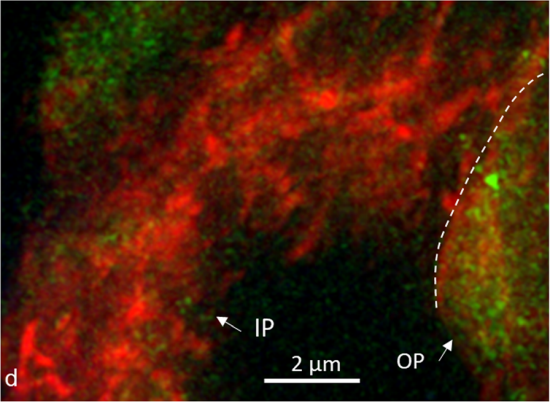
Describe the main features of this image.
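Red fibrous strands run in various, irregular directions through a broad cell head at the left, with fine green dots scattered among them; at the right a curved dashed line separates it from a narrower head where green dots are denser. This is the head of the inner pillar cell with its irregularly arranged fibrils, bordering the head of the outer pillar cell.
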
